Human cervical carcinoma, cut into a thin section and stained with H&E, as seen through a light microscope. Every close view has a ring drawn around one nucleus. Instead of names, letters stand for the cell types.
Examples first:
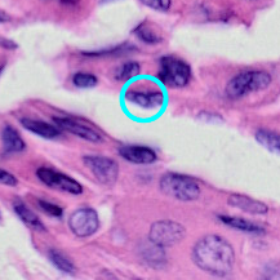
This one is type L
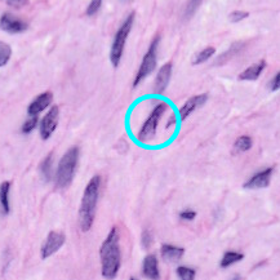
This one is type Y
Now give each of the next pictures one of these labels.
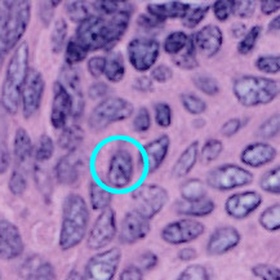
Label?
type L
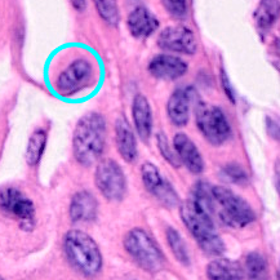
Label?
type L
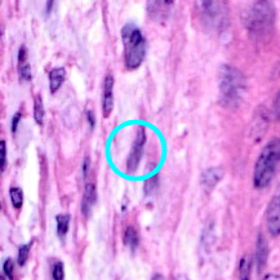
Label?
type Y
